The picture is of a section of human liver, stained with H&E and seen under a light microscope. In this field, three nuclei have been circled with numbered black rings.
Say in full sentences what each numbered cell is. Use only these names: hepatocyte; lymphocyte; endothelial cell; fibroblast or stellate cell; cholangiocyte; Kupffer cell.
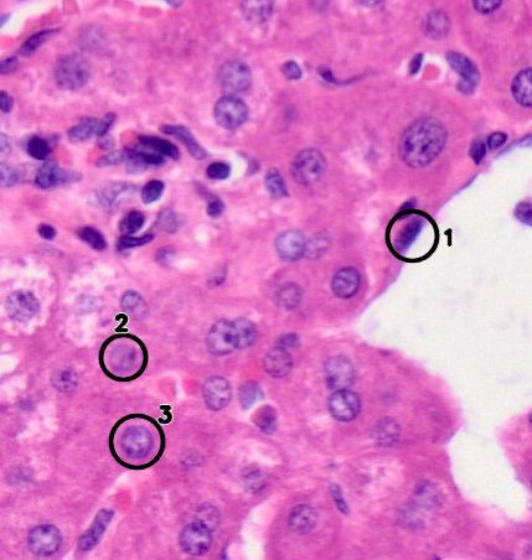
Cell 1 is a fibroblast or stellate cell, cell 2 is a hepatocyte and cell 3 is a hepatocyte.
